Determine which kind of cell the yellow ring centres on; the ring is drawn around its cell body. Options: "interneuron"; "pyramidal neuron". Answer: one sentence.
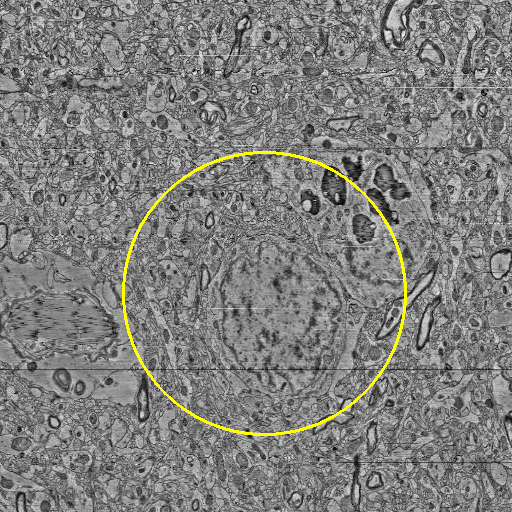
The ring centres on an interneuron.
